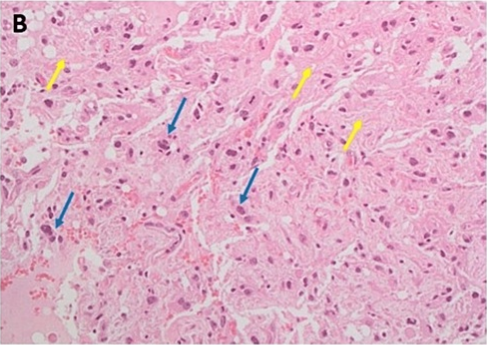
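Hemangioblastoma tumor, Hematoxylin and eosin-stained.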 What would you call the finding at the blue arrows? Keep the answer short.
Nuclear atypia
